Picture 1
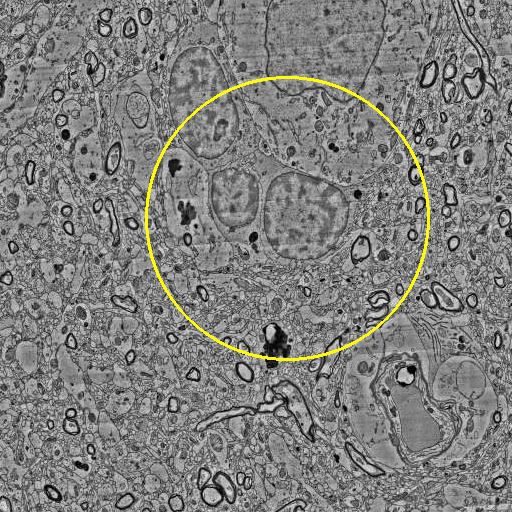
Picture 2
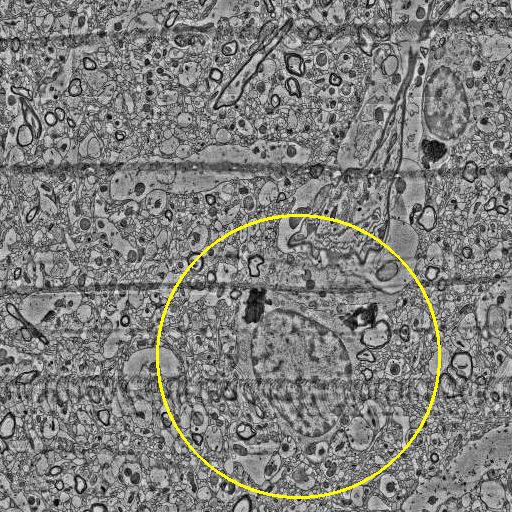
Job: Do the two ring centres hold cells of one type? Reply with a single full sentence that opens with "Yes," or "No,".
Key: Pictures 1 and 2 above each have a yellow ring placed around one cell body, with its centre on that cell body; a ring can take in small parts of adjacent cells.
Yes, the cells at the two ring centres are of one single type.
